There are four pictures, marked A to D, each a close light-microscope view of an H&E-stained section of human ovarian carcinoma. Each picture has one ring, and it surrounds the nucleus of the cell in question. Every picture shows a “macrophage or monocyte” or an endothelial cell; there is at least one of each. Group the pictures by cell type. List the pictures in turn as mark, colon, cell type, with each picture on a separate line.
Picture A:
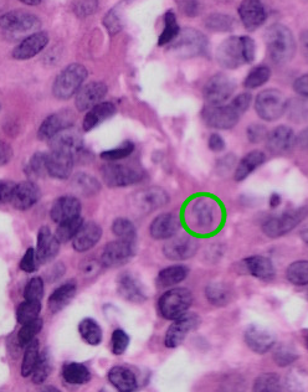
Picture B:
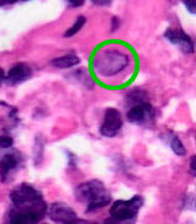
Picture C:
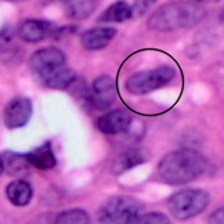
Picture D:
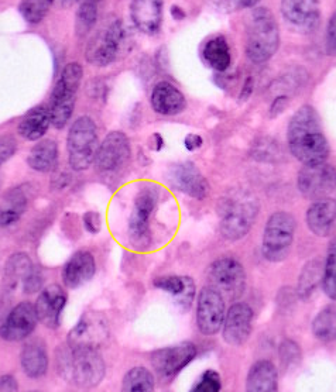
A: endothelial cell
B: endothelial cell
C: macrophage or monocyte
D: endothelial cell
